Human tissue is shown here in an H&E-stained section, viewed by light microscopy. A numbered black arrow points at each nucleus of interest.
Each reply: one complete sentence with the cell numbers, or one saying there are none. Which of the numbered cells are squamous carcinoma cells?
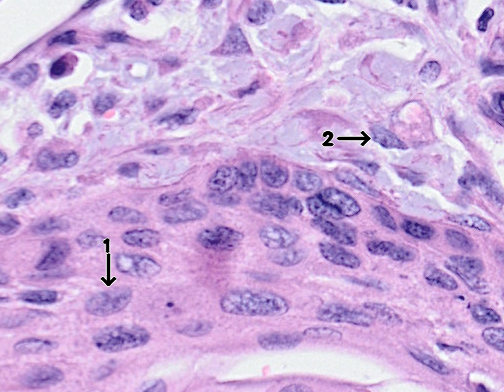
Among the marked cells, cell number 1 alone is a squamous carcinoma cell.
